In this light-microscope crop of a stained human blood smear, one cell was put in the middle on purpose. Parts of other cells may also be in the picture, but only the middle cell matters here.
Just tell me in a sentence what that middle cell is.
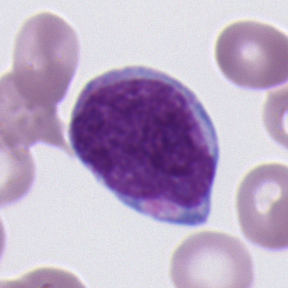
The middle cell in this particular crop is an atypical promyelocyte.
